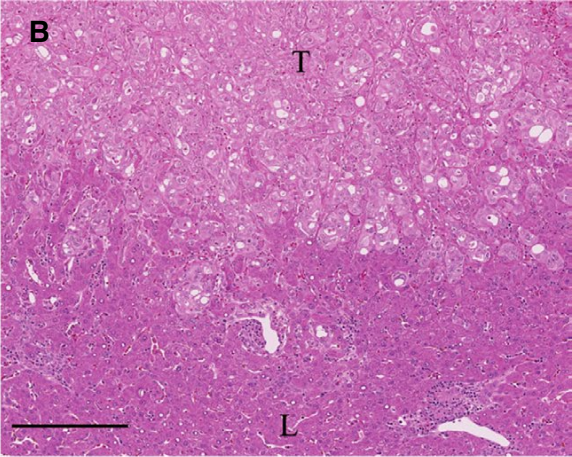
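Tumor periphery in liver at low power. Upper half: paler tumor tissue of large cells with clear vacuoles in pink cytoplasm. Lower half: darker pink liver parenchyma of hepatocyte cords with small vessels and small portal-like areas with scattered small dark nuclei. The boundary between the two is irregular; tumor cells extend along the liver cords without a fibrous capsule or dense band of inflammatory cells at the edge.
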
